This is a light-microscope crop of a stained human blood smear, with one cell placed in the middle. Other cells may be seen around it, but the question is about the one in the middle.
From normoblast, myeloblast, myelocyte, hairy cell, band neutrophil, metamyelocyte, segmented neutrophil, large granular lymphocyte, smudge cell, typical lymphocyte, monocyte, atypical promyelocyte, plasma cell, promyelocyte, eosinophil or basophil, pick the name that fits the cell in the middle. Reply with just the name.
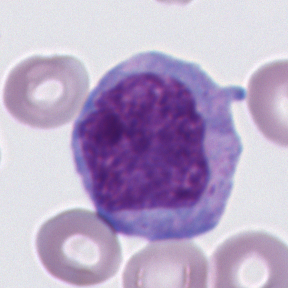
atypical promyelocyte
